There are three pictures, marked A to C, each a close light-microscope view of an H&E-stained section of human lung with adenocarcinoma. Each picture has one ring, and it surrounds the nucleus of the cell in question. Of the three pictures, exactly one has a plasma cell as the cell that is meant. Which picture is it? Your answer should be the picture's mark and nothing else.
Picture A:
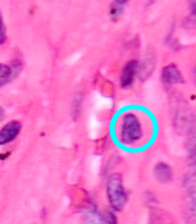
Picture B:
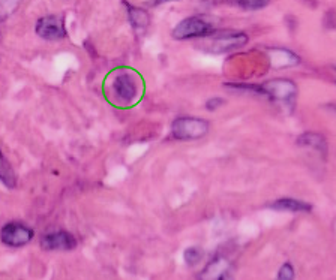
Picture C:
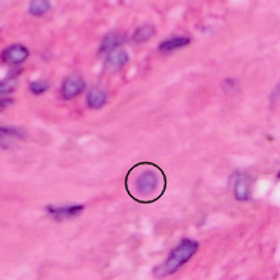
B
